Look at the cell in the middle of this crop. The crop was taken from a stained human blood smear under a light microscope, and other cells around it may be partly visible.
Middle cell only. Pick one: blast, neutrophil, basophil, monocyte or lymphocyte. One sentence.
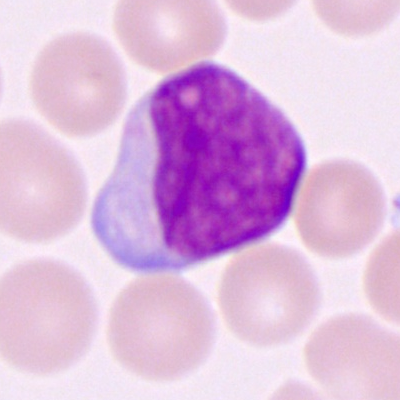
In this smear crop, the middle cell is a blast.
